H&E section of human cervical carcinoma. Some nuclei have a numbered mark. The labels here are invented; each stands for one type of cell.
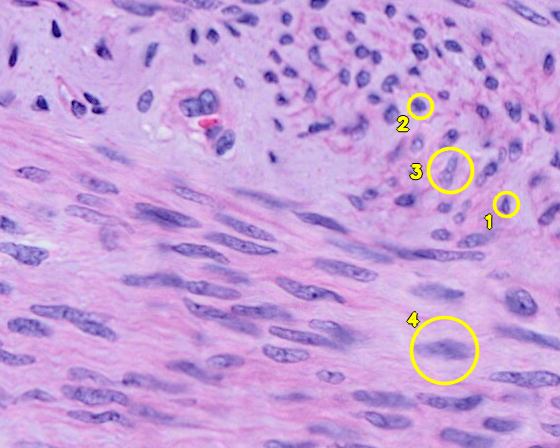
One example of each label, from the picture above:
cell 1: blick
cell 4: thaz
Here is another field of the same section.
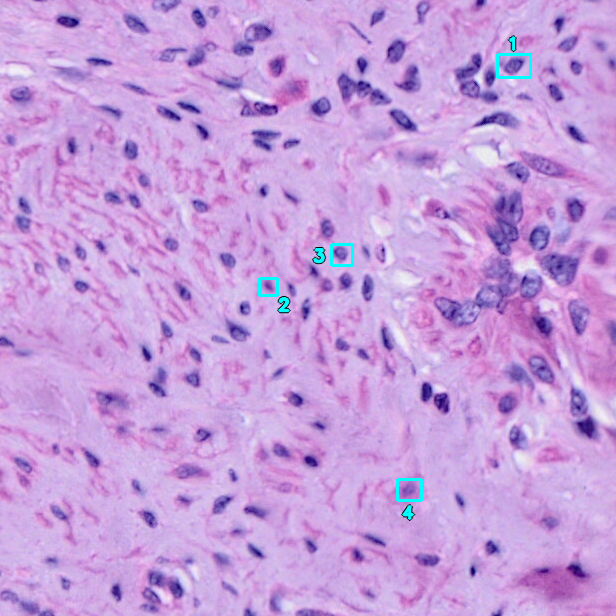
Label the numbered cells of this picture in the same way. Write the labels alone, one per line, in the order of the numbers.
thaz
blick
blick
blick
